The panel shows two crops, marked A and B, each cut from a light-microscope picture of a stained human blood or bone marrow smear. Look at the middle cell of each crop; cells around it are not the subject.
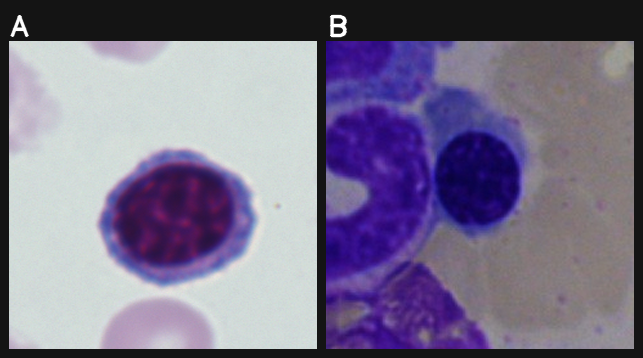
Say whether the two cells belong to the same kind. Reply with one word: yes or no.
no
